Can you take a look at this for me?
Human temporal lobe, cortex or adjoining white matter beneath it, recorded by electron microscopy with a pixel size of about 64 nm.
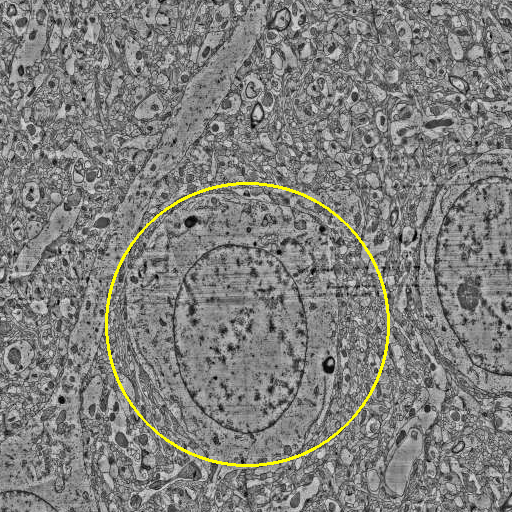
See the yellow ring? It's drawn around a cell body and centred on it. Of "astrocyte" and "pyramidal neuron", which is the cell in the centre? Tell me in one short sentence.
The one in the centre is a pyramidal neuron.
